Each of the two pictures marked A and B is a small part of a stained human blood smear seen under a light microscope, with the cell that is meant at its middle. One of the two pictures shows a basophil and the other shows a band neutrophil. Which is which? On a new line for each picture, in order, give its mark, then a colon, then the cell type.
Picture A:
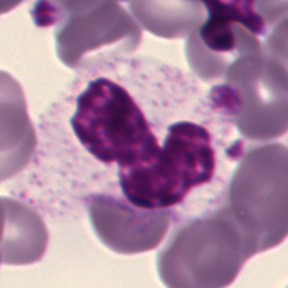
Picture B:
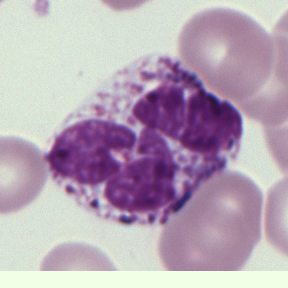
A: band neutrophil
B: basophil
